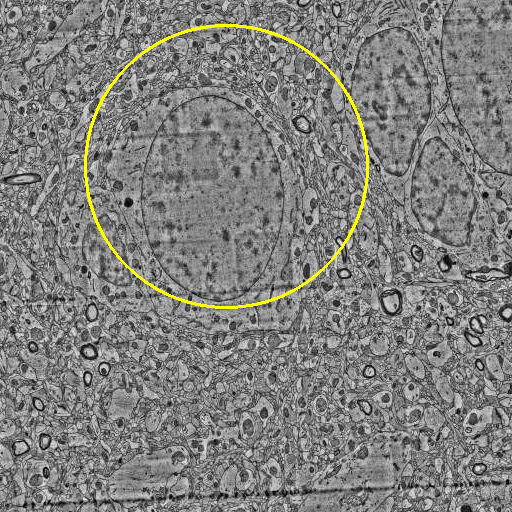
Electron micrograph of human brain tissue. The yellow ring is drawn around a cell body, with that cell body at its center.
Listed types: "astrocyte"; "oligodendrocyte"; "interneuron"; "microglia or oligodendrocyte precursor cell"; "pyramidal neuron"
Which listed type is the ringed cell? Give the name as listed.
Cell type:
pyramidal neuron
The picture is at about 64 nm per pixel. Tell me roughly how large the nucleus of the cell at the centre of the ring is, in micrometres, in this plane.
The nucleus works out at approximately 13 by 9 micrometres in this plane.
